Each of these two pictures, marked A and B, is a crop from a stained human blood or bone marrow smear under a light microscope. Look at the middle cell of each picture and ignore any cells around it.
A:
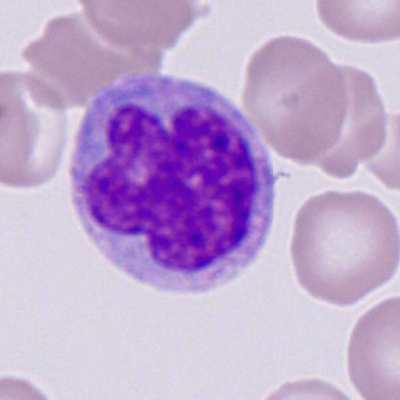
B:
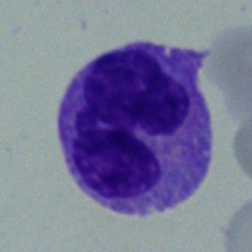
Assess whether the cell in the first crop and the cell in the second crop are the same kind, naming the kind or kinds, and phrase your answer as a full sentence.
Yes, both crops show monocytes in their central position.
